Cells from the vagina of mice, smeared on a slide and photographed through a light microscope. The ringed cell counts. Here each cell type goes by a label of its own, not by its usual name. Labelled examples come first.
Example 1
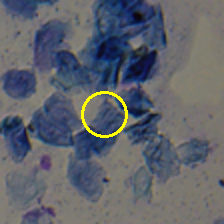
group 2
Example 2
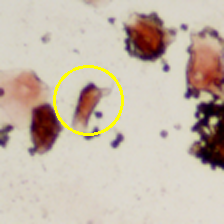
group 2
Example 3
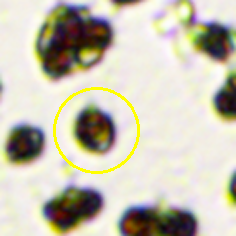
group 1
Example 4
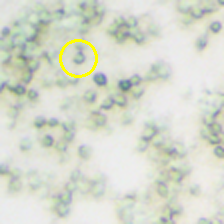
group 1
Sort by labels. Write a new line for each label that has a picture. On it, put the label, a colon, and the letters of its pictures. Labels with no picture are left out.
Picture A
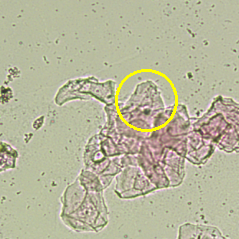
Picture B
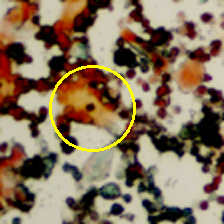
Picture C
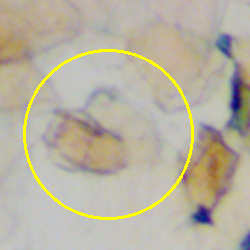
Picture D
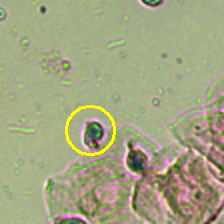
group 2: A, B, C
group 1: D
